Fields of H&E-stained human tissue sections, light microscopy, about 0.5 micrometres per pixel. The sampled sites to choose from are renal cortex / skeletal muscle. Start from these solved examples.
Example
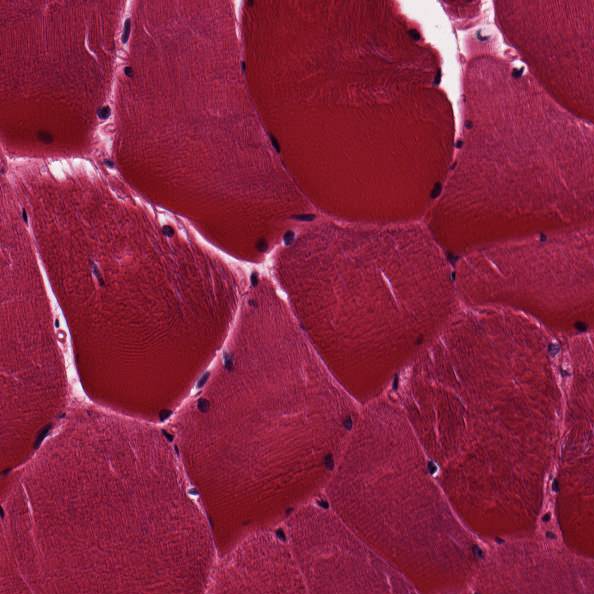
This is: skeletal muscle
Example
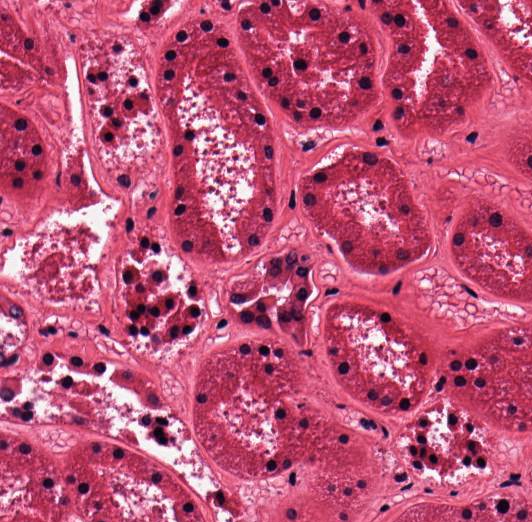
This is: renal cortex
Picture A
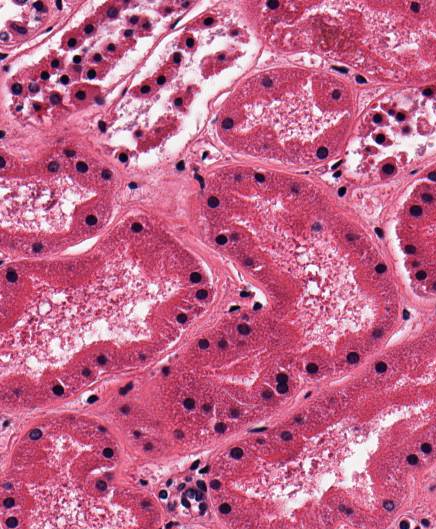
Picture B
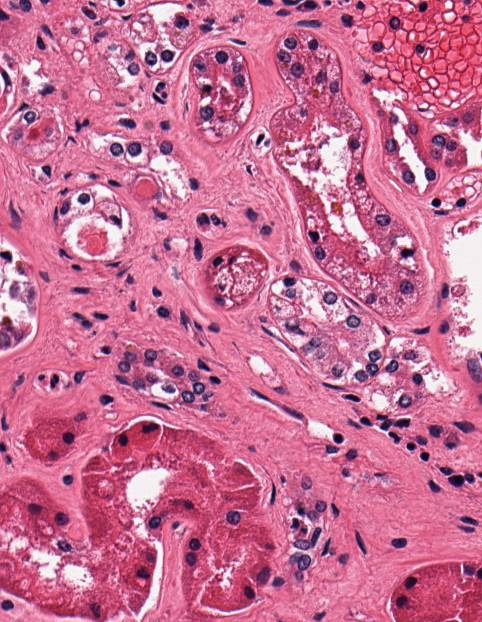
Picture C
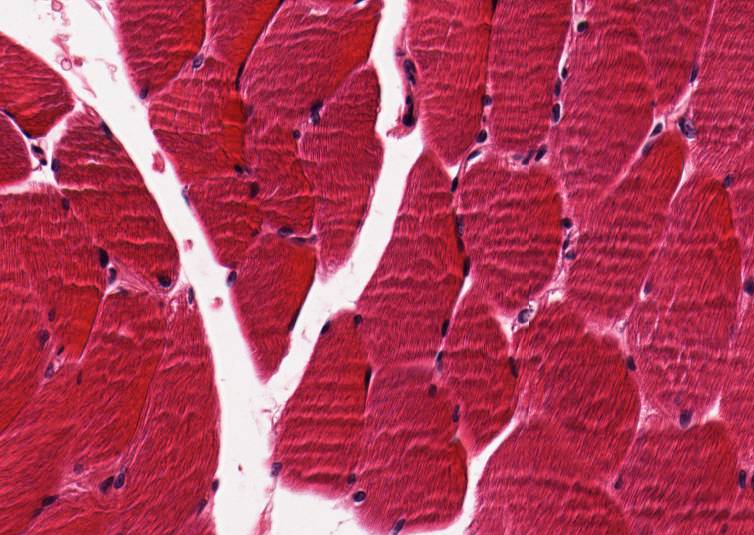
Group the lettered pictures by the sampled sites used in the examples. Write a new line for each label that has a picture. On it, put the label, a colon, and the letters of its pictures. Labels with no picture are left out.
renal cortex: A, B
skeletal muscle: C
